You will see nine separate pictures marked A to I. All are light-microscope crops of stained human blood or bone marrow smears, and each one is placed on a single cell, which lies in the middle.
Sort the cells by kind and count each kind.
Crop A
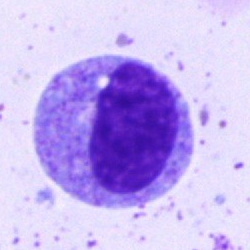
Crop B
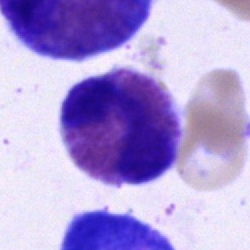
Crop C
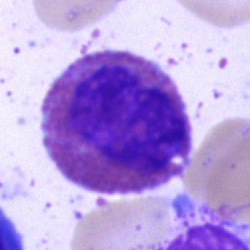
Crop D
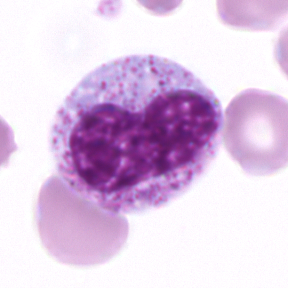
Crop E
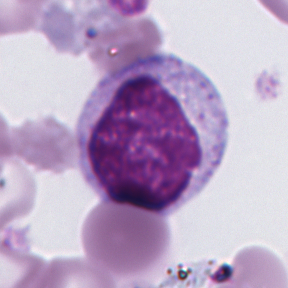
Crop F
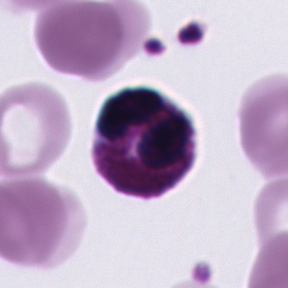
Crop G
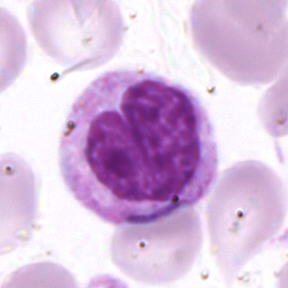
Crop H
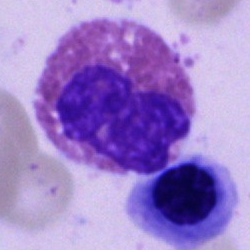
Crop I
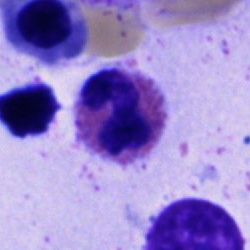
eosinophil: 5
myelocyte: 2
band neutrophil: 2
